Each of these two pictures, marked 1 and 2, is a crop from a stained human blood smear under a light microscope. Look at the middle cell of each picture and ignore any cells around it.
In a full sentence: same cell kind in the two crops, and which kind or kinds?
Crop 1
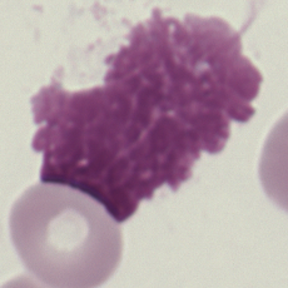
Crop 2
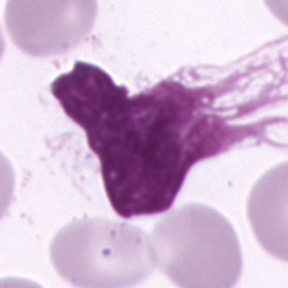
Yes, the two crops show smudge cells at their centres.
